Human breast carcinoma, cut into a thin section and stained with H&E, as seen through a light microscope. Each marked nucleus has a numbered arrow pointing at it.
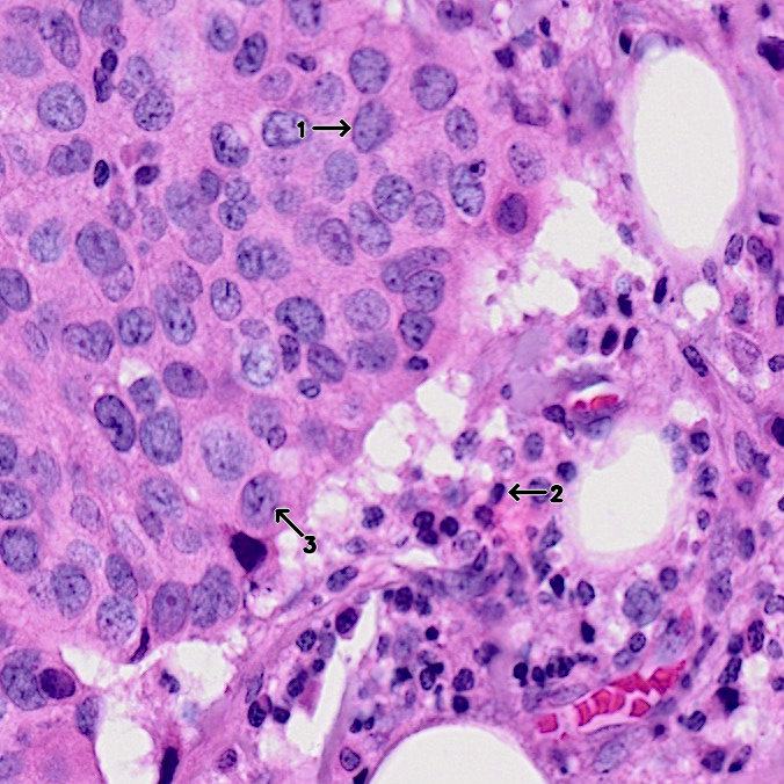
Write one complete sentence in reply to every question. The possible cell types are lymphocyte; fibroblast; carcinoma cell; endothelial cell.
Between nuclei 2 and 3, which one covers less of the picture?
The smaller nucleus is 2, and 3 covers roughly 3 times its area.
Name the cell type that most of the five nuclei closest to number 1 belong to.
The majority of the five nuclei closest to number 1 belong to carcinoma cells.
